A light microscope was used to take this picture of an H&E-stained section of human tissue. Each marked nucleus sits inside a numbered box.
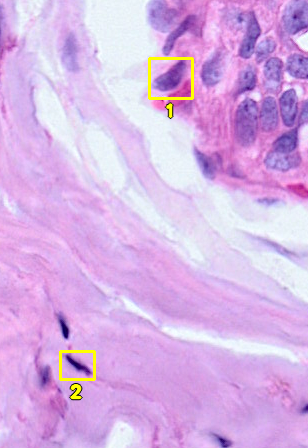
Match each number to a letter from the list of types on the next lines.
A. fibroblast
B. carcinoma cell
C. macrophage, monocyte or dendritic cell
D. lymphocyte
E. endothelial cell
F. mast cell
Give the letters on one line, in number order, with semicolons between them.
E; A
